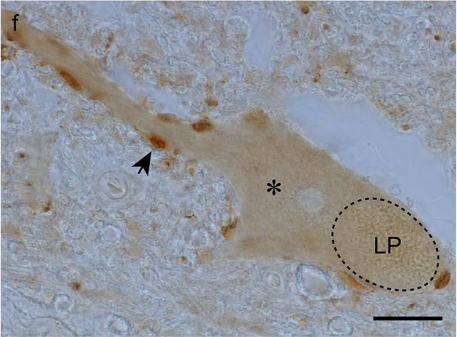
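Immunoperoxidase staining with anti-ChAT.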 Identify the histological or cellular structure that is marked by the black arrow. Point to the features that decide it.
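Dark brown dots line the tapering process of a large cell. The dots are more intensely stained than the pale cell body. On this evidence: Synapses.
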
